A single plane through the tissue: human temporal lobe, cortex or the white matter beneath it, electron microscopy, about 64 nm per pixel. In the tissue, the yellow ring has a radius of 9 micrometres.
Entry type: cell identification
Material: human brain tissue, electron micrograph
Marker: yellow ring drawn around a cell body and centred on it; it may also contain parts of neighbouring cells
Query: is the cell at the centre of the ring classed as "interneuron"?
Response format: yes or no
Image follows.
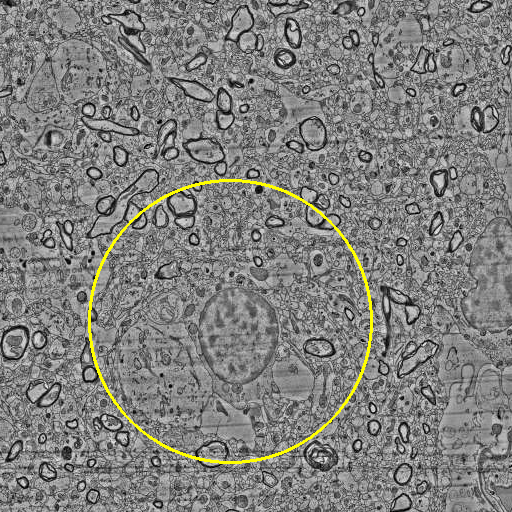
no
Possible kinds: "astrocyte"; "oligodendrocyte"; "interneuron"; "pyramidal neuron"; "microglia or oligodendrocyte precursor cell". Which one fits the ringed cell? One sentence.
The cell ringed in the picture is an oligodendrocyte.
